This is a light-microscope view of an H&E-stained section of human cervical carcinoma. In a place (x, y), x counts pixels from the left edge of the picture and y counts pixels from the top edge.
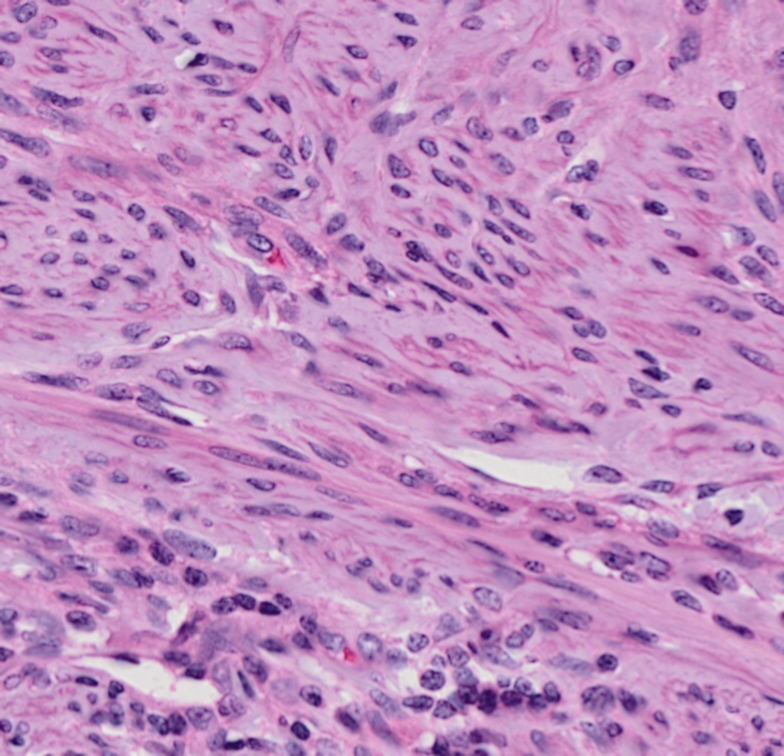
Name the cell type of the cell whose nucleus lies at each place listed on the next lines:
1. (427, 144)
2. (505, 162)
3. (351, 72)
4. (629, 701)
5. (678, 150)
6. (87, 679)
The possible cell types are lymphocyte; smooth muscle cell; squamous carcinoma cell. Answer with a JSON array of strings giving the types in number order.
["smooth muscle cell", "smooth muscle cell", "smooth muscle cell", "lymphocyte", "smooth muscle cell", "lymphocyte"]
